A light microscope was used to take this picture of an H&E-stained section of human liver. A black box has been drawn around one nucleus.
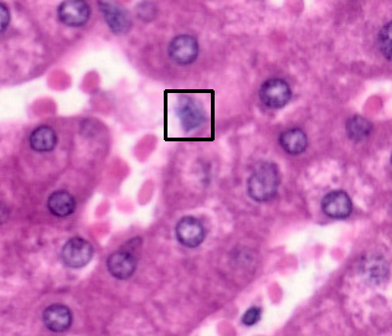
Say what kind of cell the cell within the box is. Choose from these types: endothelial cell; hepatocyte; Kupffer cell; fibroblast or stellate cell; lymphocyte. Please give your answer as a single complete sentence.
Just put down that the cell within the box is an endothelial cell.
